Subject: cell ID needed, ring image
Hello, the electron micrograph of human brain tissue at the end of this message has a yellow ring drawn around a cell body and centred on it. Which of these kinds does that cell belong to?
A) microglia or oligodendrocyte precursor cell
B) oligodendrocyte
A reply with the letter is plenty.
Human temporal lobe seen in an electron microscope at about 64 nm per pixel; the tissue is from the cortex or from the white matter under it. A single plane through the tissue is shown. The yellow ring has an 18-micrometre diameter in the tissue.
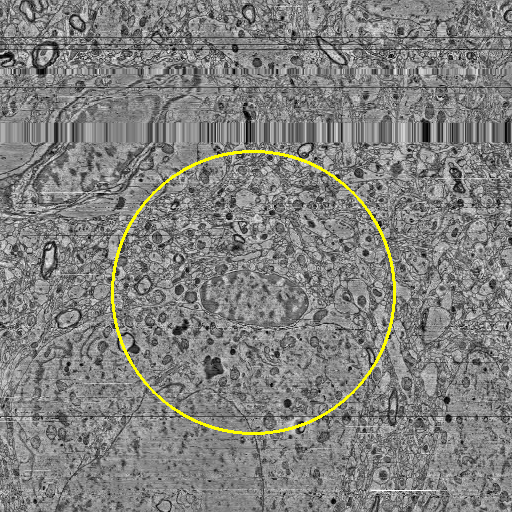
A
